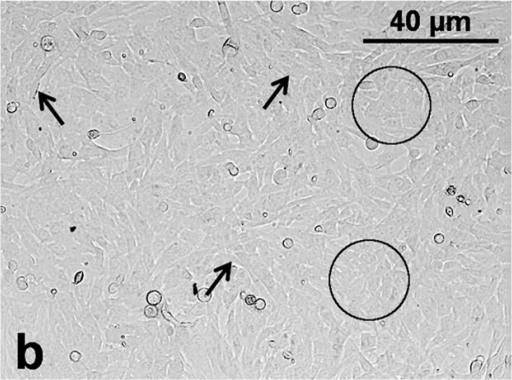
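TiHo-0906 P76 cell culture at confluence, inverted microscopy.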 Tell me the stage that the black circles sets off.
Polygonal.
